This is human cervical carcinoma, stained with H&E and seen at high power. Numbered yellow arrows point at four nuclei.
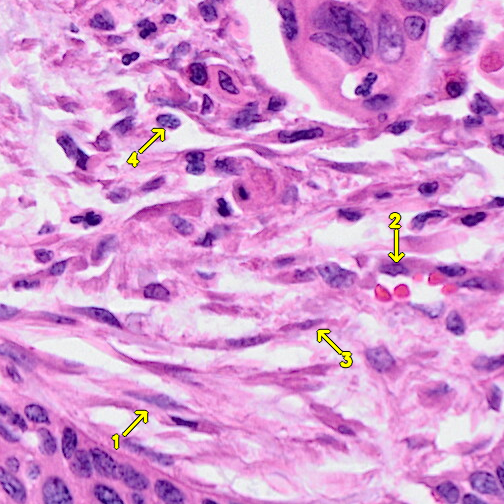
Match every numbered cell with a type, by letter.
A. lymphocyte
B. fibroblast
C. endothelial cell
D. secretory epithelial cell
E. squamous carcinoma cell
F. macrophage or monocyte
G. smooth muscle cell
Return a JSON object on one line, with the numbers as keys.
{"1": "B", "2": "C", "3": "B", "4": "A"}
